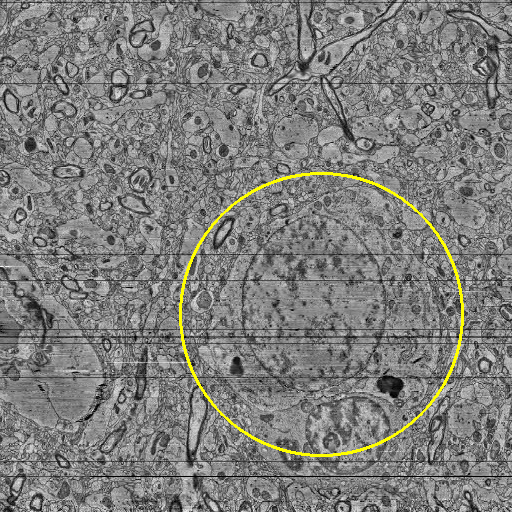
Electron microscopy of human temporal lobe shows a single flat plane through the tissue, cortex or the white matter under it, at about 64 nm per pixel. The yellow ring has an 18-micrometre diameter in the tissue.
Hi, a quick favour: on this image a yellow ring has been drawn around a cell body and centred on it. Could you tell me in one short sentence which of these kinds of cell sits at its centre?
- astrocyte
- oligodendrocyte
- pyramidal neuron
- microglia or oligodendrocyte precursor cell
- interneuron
The ring is centred on an interneuron.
